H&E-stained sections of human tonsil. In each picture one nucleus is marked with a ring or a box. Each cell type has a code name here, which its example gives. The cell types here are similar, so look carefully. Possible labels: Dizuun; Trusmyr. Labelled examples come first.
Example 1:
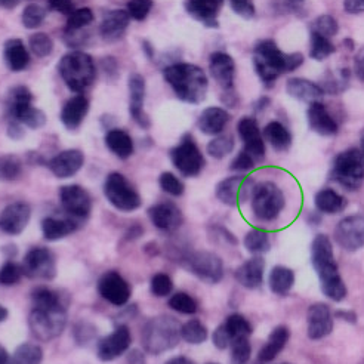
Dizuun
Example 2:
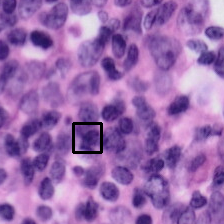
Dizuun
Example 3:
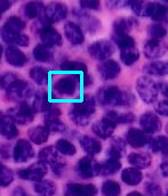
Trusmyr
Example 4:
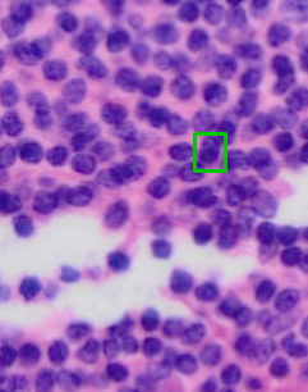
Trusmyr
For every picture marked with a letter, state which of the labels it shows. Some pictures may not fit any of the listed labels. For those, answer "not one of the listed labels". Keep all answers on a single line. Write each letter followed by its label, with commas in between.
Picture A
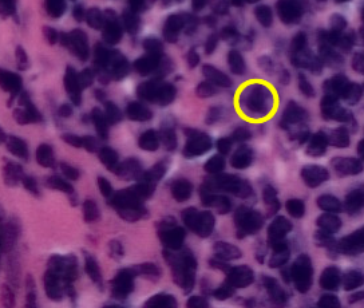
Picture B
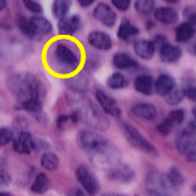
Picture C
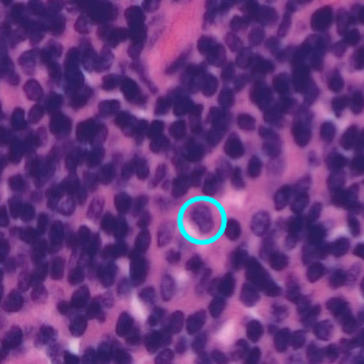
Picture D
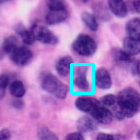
A not one of the listed labels, B not one of the listed labels, C not one of the listed labels, D Dizuun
